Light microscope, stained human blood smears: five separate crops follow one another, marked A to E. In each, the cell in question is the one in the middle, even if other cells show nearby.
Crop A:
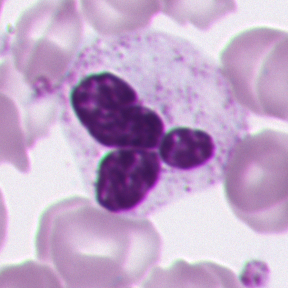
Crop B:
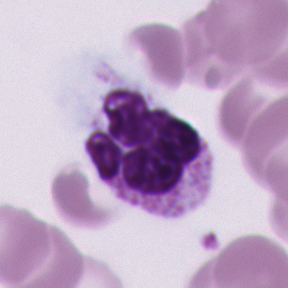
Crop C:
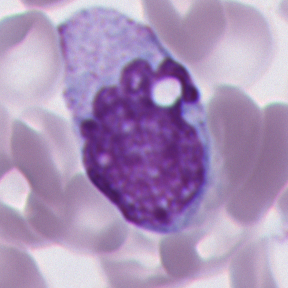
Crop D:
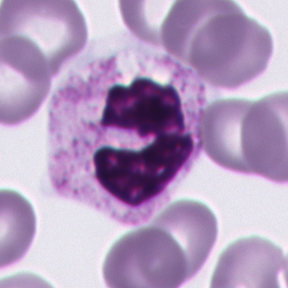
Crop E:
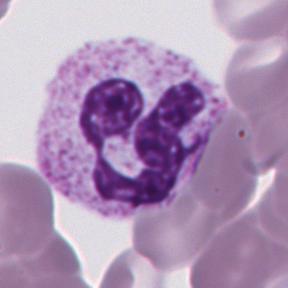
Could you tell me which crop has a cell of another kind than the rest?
C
